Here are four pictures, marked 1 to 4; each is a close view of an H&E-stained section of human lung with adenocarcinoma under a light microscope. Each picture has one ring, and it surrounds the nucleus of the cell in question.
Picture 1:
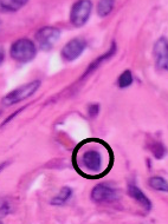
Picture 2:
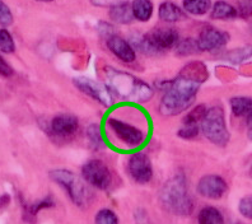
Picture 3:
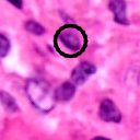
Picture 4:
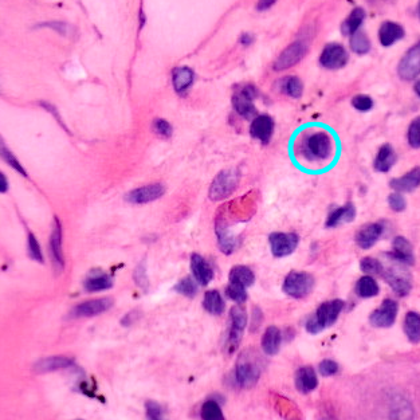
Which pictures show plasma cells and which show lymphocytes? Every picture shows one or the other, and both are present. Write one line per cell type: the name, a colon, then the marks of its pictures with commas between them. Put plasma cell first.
plasma cell: 1, 2, 3
lymphocyte: 4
